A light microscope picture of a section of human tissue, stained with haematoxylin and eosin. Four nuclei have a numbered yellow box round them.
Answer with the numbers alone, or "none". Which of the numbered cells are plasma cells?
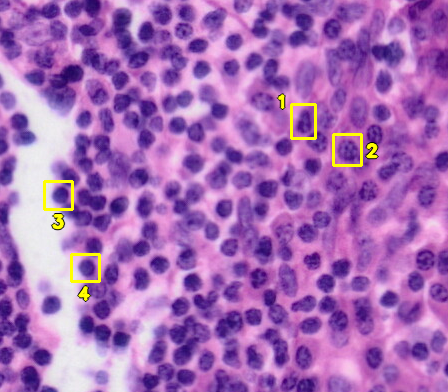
1, 2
